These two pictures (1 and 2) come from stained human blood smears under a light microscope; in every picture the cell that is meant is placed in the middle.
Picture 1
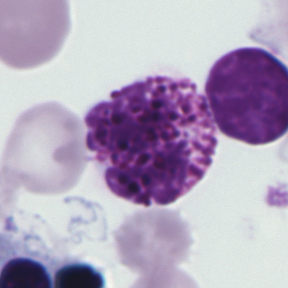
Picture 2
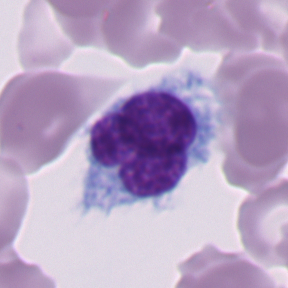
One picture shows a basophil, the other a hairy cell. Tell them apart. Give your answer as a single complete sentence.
In picture 1 the cell is a basophil; in picture 2, a hairy cell.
